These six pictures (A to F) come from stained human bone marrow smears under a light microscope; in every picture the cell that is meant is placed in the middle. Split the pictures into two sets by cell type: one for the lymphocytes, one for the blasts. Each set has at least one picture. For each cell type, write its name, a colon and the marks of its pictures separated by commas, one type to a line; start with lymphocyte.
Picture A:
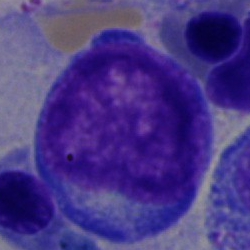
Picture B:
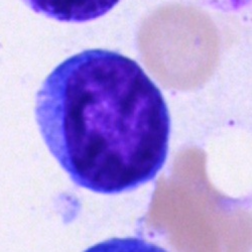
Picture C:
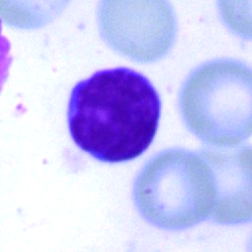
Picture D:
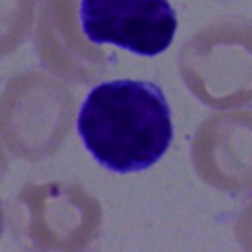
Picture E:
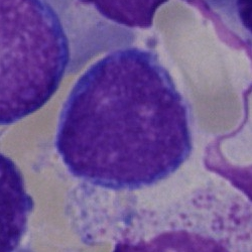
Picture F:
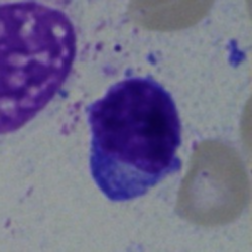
lymphocyte: C, D, F
blast: A, B, E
